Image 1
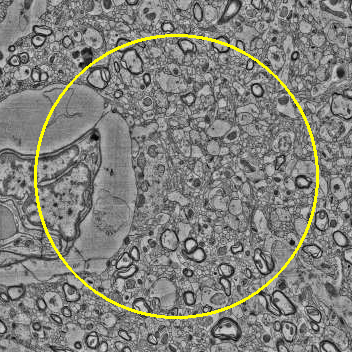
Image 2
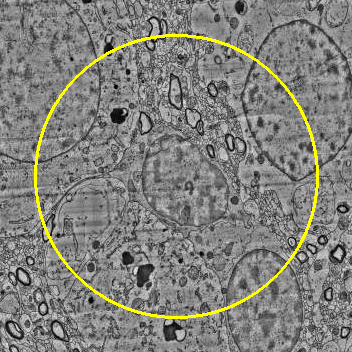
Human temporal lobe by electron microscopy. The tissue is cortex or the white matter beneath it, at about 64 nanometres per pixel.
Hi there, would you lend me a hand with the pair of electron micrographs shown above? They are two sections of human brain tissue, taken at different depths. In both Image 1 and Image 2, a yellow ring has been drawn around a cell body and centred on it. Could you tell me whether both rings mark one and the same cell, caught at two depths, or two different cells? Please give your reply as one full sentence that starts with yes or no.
No, the first ring and the second ring mark different cells.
